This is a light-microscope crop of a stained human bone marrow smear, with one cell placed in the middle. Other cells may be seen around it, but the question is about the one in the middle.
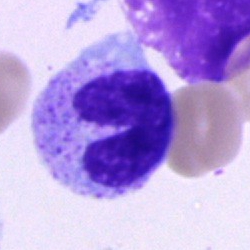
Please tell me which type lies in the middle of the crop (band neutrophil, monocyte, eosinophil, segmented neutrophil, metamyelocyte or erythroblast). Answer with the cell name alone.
band neutrophil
